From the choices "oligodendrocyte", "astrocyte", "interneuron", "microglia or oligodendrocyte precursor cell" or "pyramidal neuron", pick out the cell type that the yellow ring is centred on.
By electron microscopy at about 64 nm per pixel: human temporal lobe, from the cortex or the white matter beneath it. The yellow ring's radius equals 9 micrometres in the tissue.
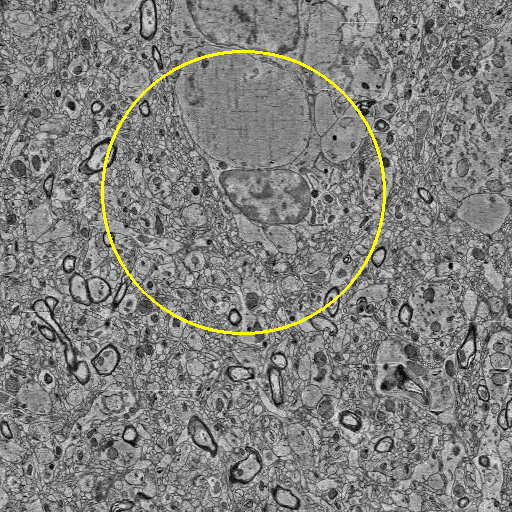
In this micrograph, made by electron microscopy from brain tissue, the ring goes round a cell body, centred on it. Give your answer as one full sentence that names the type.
The yellow ring is centred on a microglial cell or oligodendrocyte precursor cell, whose cell body it encircles in the picture.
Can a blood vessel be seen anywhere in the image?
Yes, the image shows a blood vessel.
